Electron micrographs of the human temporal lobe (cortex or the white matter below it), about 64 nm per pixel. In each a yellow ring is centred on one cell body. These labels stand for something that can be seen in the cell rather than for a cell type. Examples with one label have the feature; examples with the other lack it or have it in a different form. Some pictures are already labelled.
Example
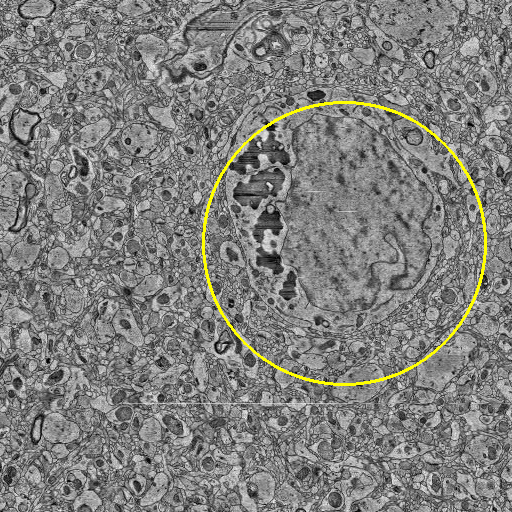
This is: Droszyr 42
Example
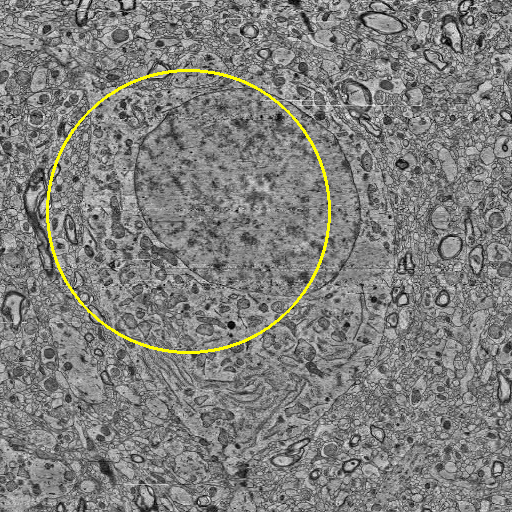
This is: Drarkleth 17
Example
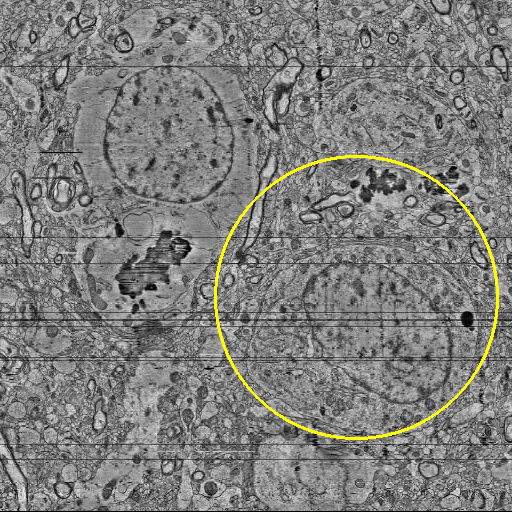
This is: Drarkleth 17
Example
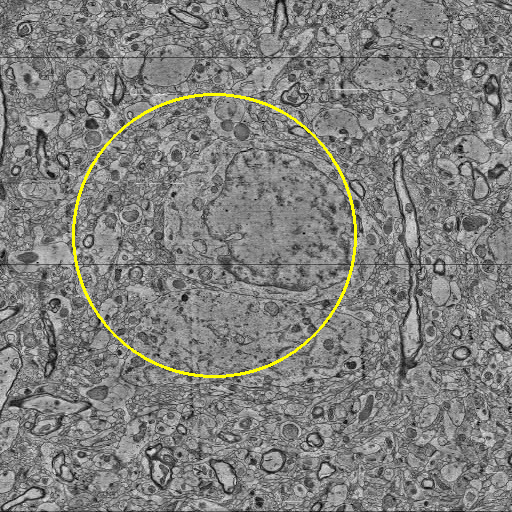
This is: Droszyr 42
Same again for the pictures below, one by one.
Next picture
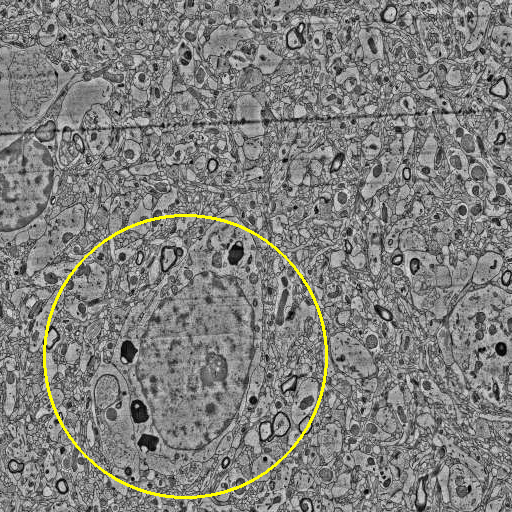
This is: Drarkleth 17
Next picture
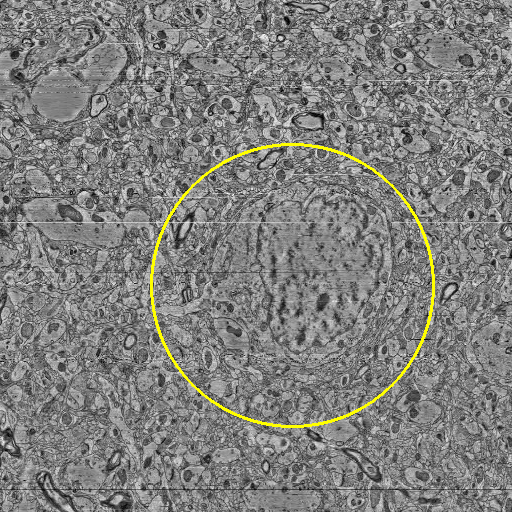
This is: Droszyr 42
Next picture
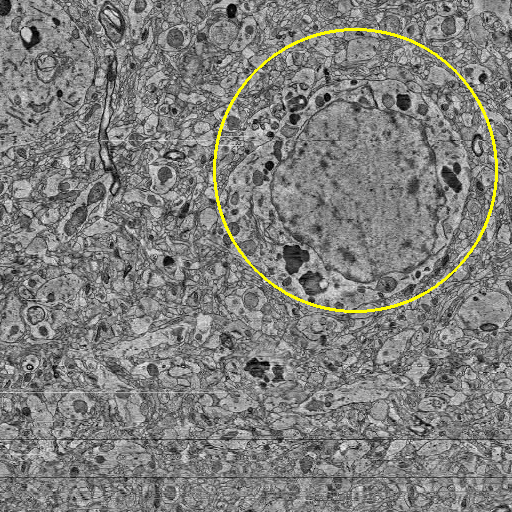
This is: Drarkleth 17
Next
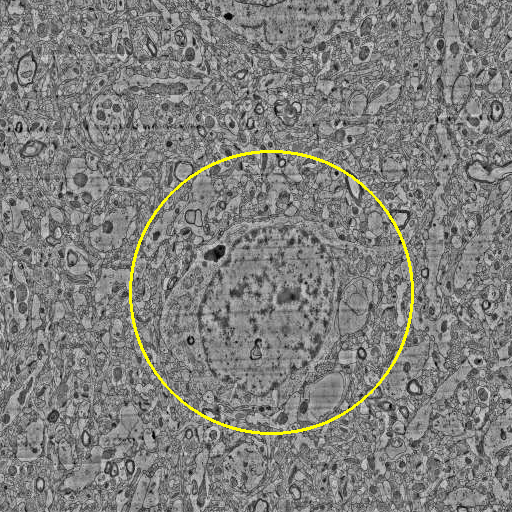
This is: Drarkleth 17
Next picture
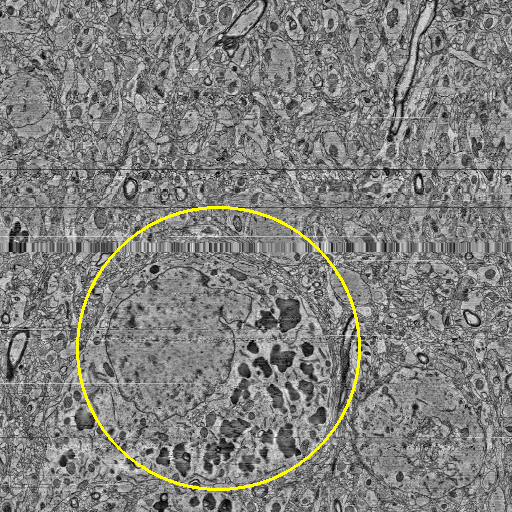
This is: Droszyr 42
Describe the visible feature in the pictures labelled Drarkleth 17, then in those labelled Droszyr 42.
Seen in Drarkleth 17: smooth nuclear envelopes without deep folds; seen in Droszyr 42: deeply folded or indented nuclear envelopes.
